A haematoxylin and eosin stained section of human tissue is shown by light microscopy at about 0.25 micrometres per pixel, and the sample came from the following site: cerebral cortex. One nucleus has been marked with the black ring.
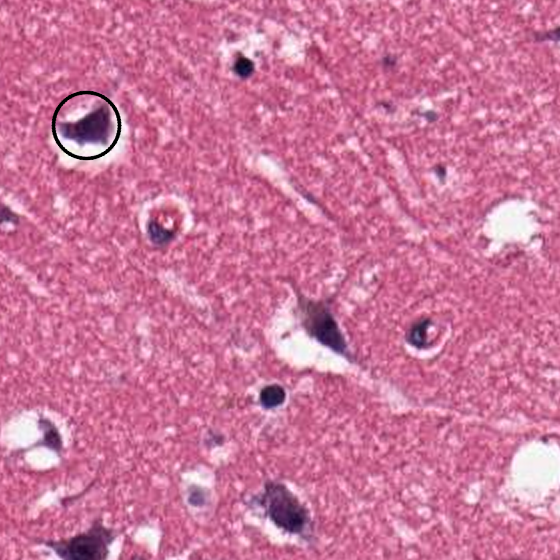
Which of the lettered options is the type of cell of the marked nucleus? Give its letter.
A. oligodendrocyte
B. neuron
B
